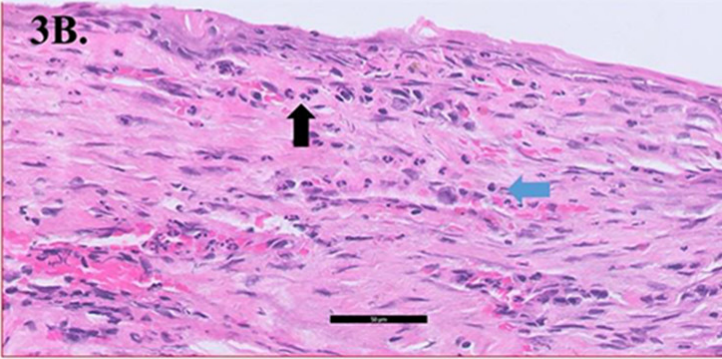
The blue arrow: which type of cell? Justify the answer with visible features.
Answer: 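The blue arrow points at small cells with round, dark purple nuclei. These cells lie scattered among pink collagen fibres. So: lymphocytes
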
